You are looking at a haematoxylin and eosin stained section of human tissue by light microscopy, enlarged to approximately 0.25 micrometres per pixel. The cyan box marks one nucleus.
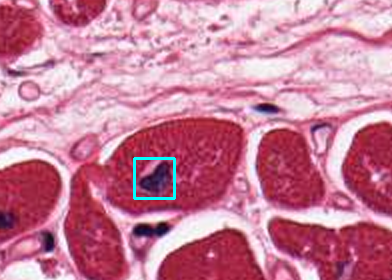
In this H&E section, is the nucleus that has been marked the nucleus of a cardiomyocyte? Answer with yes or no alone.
yes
